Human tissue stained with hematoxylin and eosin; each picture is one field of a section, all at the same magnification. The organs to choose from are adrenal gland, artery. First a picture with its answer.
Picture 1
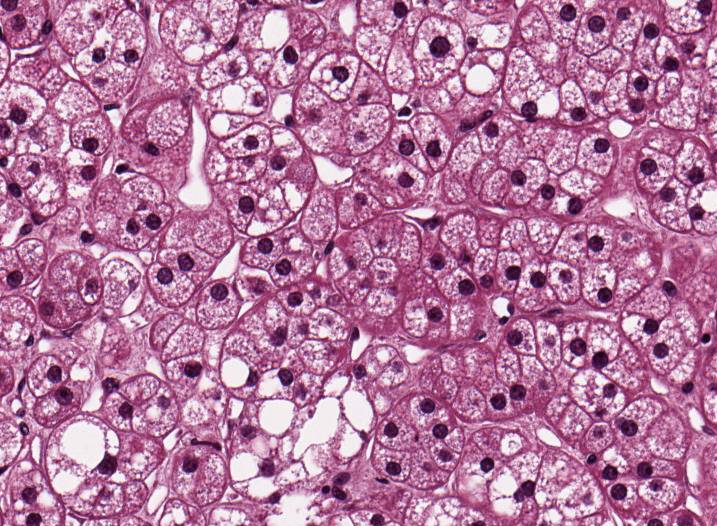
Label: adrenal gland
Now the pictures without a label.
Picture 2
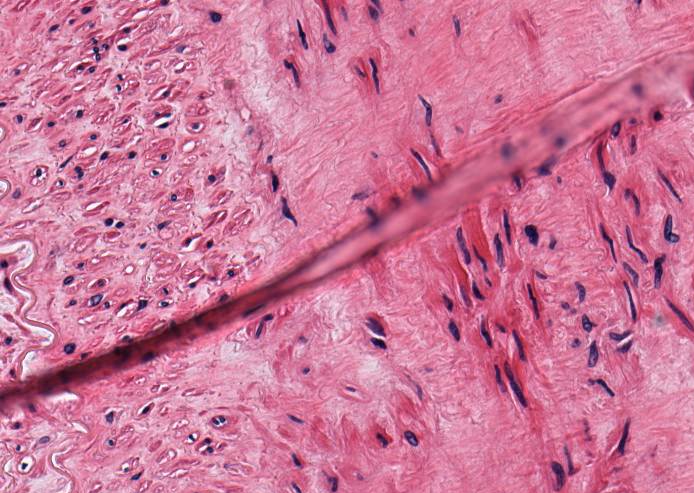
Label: artery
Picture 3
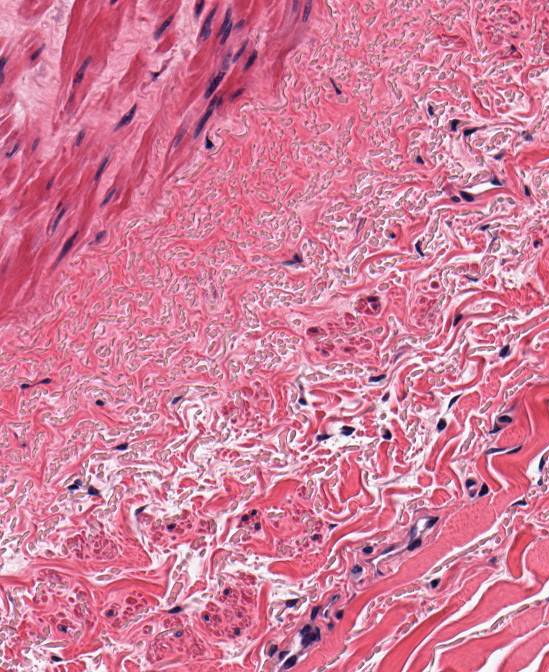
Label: artery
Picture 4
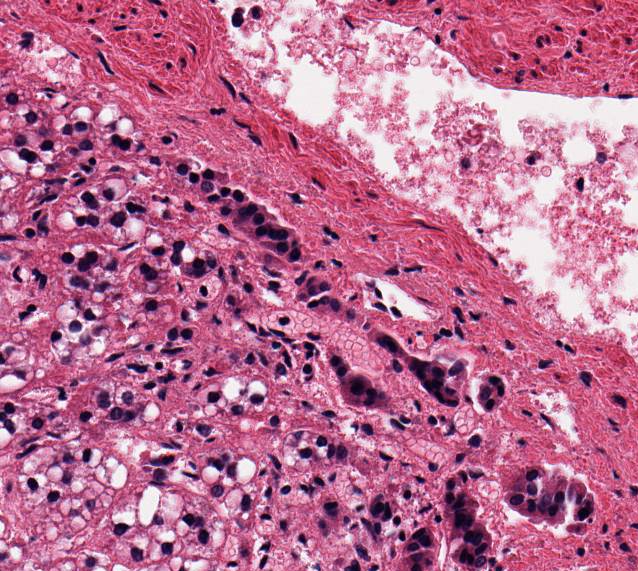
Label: adrenal gland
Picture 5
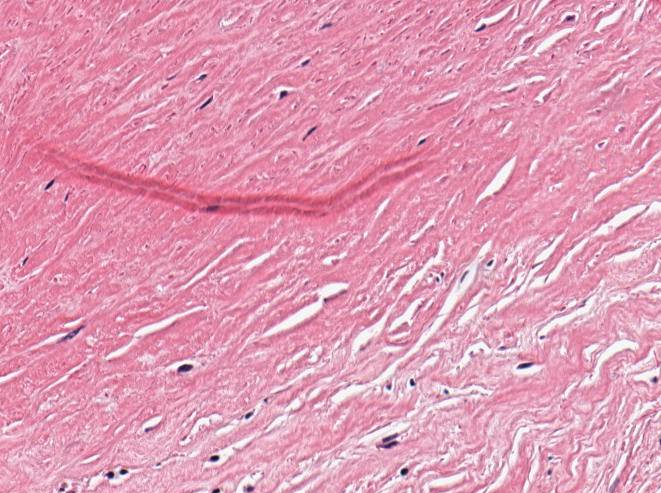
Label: artery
